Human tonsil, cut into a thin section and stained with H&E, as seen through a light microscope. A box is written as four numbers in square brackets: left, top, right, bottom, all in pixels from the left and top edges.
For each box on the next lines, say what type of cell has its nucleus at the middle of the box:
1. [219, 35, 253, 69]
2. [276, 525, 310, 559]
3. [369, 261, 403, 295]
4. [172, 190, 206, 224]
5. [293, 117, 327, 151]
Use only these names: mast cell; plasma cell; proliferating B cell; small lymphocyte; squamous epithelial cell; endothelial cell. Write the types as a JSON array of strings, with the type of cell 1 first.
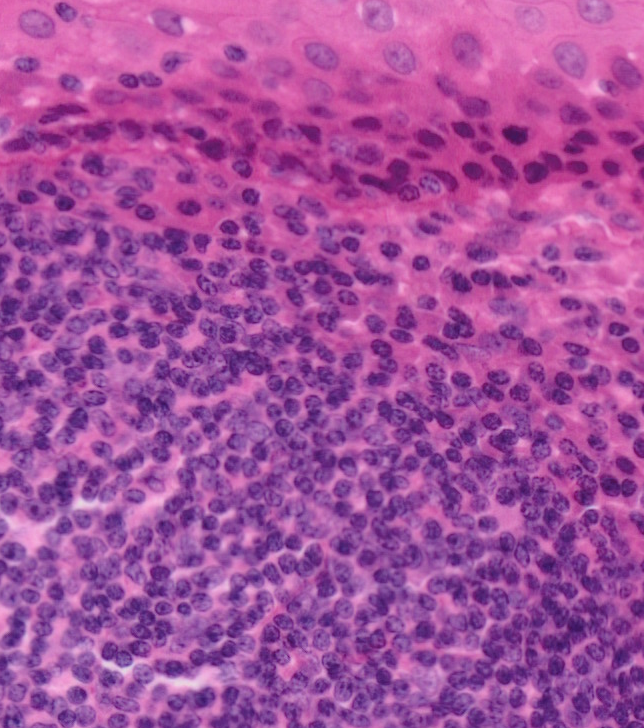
["squamous epithelial cell", "small lymphocyte", "plasma cell", "plasma cell", "squamous epithelial cell"]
